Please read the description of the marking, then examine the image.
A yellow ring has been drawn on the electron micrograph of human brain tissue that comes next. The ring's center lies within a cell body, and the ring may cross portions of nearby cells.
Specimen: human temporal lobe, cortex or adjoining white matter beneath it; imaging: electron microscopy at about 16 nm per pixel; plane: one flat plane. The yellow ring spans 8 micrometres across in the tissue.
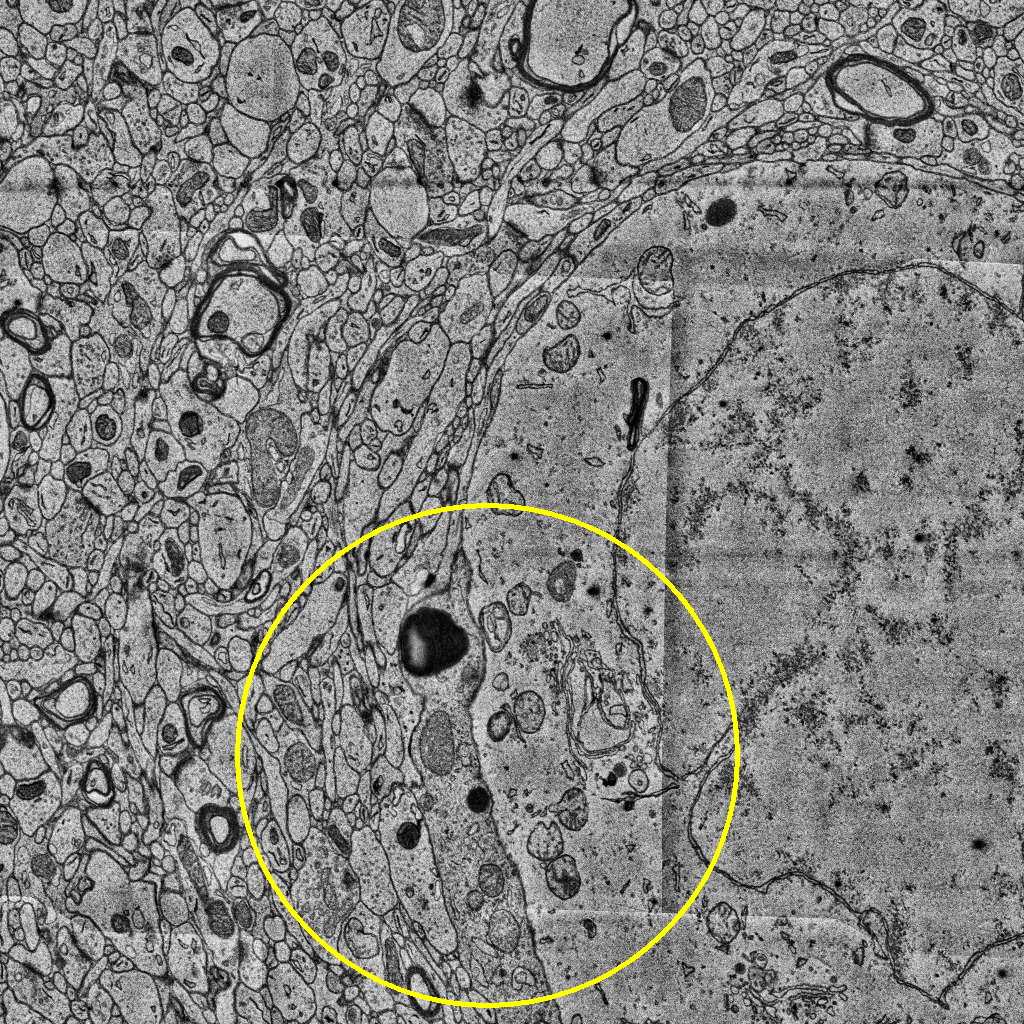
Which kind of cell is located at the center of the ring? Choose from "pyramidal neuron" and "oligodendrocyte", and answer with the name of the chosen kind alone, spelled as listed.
oligodendrocyte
